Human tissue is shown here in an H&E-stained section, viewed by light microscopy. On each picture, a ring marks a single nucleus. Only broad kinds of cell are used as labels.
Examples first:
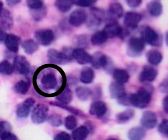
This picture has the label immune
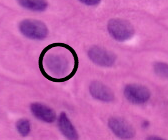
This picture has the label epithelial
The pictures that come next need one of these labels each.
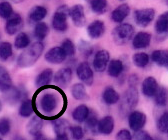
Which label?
immune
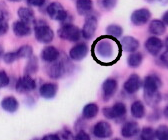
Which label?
immune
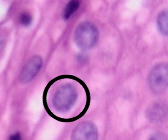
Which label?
epithelial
